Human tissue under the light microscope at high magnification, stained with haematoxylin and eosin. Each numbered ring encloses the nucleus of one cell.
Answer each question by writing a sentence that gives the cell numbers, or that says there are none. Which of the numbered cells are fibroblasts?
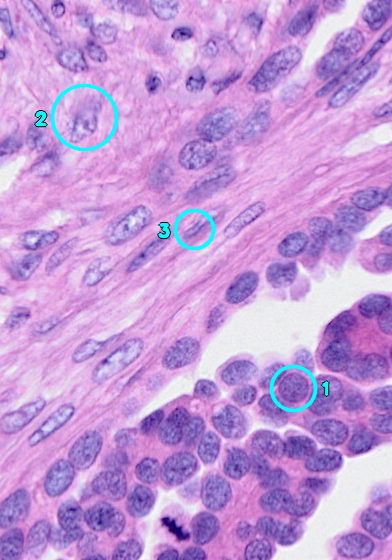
Classified as fibroblasts are the cells numbered 2 and 3.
